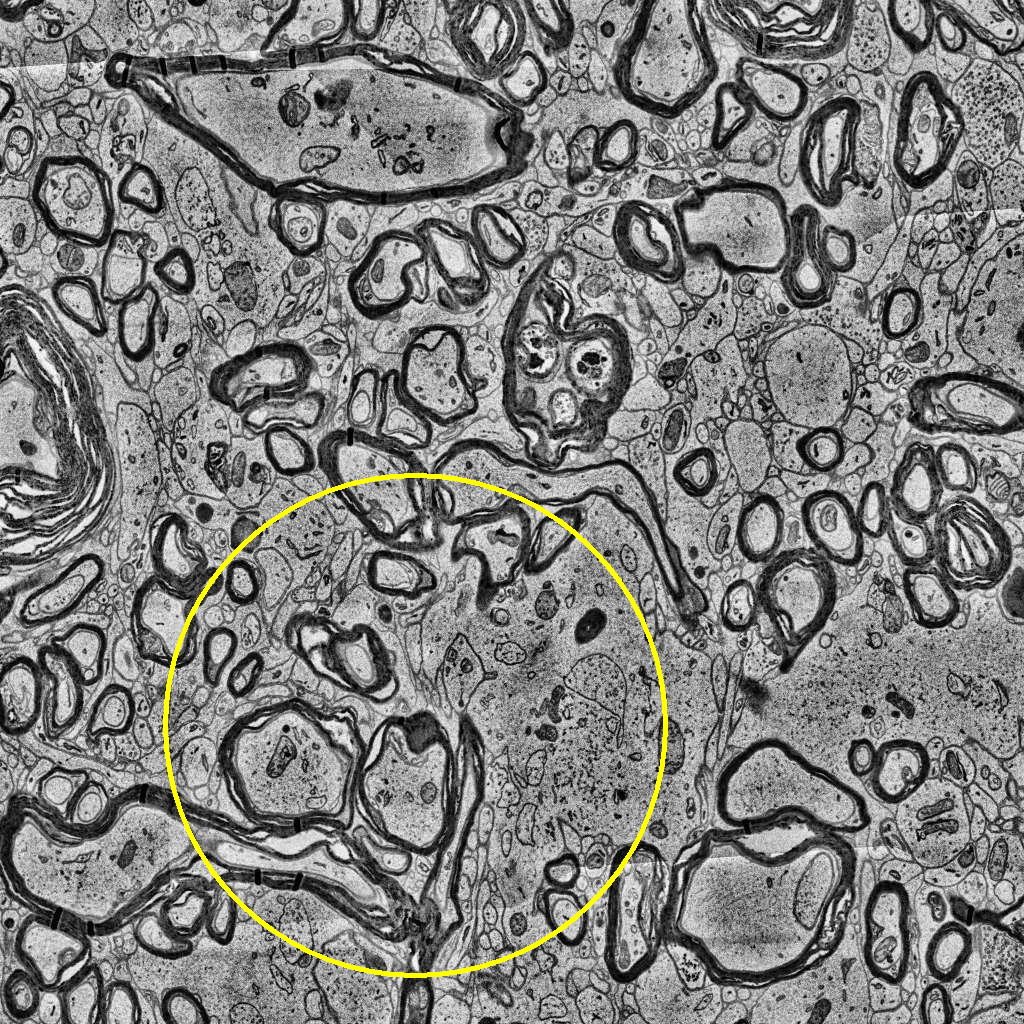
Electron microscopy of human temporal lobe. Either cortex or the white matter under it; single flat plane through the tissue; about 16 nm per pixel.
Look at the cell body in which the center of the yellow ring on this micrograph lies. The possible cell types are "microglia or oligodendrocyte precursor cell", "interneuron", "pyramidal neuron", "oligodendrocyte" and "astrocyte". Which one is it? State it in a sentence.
The cell at the middle of the ring is an astrocyte.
